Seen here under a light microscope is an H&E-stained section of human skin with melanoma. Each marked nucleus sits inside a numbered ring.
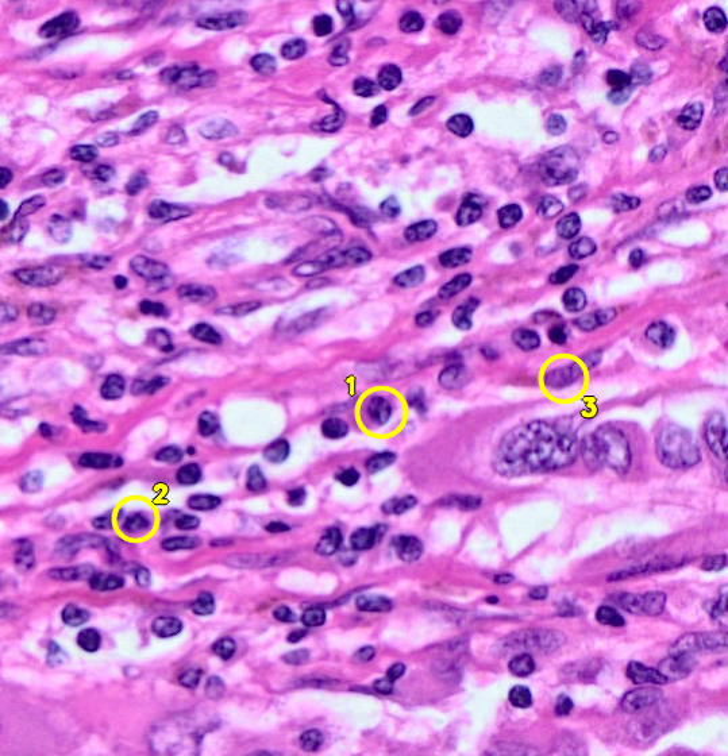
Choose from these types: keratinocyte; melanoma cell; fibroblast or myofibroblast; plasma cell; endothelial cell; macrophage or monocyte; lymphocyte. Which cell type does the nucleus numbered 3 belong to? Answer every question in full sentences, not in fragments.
That cell with number 3 is a macrophage or monocyte.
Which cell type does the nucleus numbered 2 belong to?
The cell identified by number 2 is a plasma cell.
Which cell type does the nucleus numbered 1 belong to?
The cell carrying label 1 is identified as a plasma cell.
